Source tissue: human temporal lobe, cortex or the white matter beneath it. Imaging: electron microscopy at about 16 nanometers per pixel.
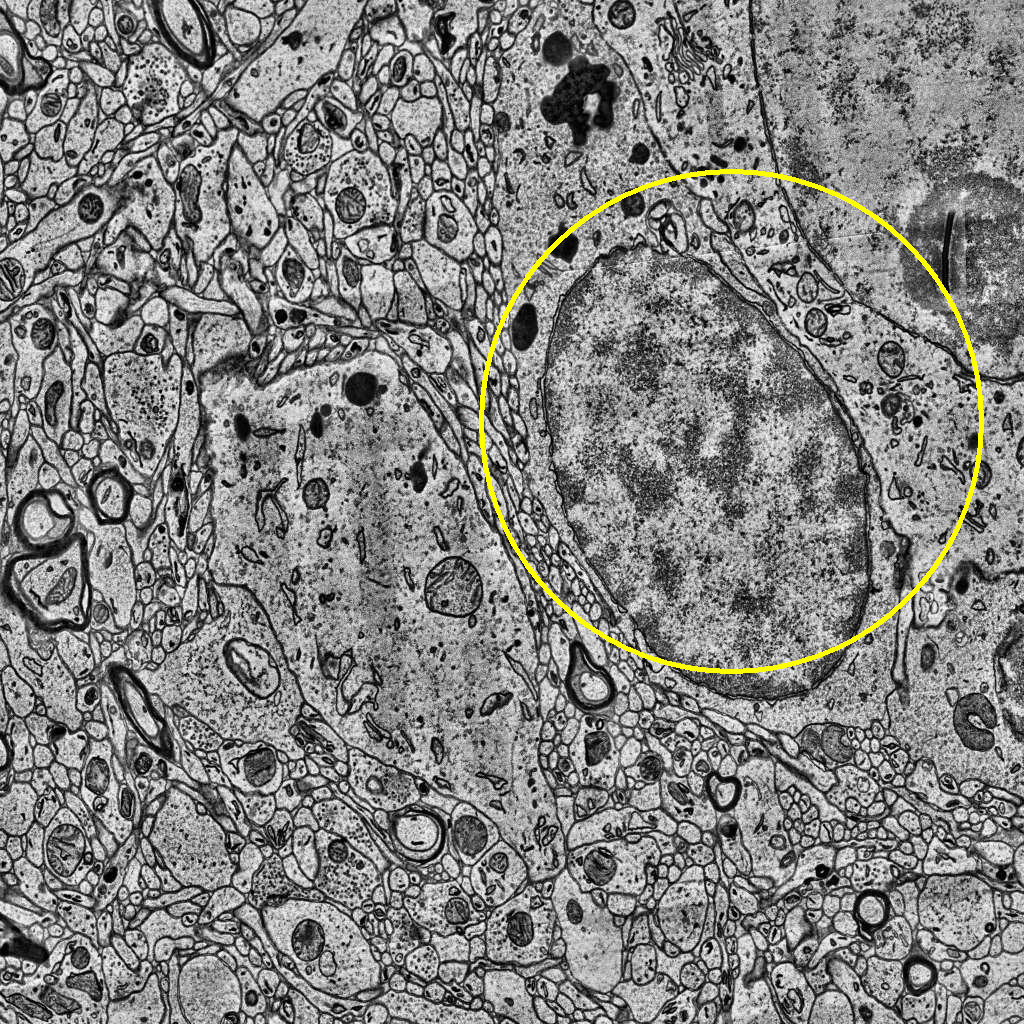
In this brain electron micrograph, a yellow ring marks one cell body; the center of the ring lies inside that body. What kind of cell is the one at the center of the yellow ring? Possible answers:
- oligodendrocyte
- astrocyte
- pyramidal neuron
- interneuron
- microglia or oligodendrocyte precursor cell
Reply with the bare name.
oligodendrocyte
